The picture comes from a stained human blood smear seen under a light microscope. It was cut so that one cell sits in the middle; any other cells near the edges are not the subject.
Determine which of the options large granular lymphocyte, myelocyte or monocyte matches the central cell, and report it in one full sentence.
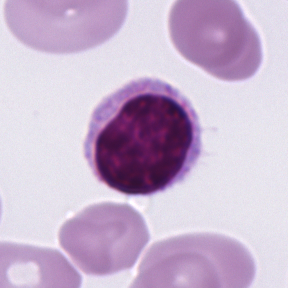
This crop's central cell is a large granular lymphocyte.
